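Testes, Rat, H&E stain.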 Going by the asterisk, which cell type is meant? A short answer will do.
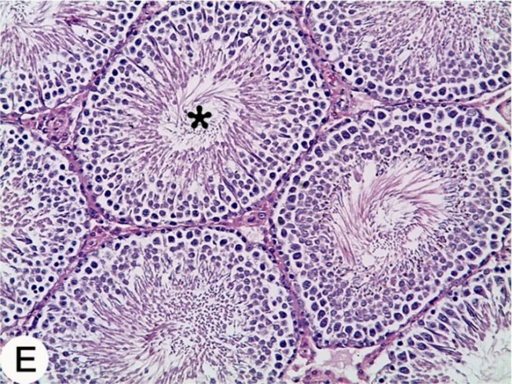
Spermatozoa.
